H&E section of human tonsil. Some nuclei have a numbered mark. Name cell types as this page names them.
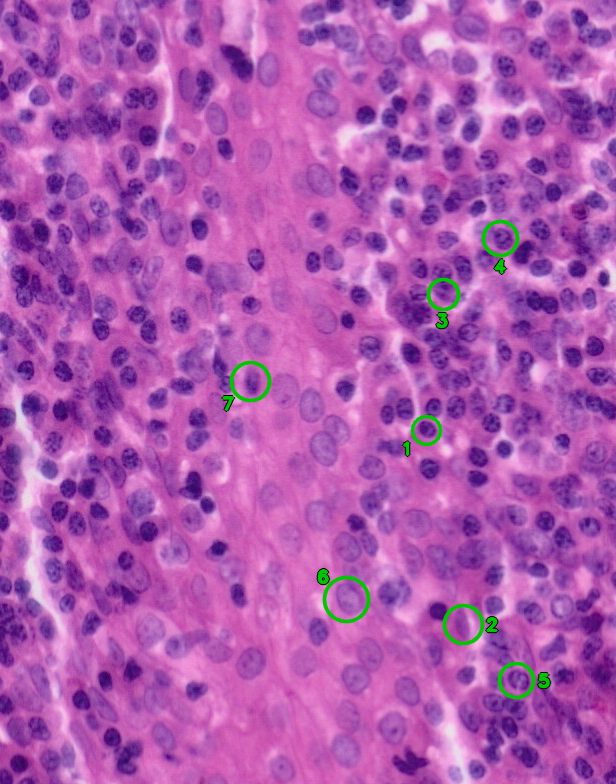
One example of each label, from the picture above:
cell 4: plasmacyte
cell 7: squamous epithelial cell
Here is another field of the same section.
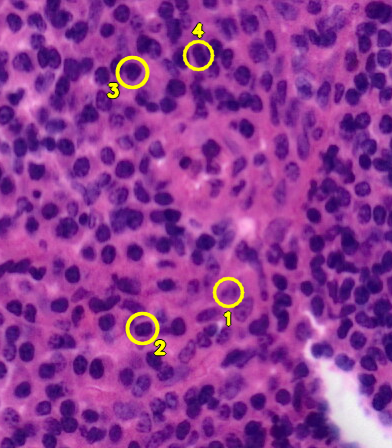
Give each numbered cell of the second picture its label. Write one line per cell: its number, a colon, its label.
1: squamous epithelial cell
2: plasmacyte
3: plasmacyte
4: plasmacyte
